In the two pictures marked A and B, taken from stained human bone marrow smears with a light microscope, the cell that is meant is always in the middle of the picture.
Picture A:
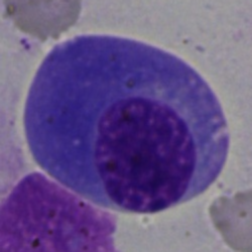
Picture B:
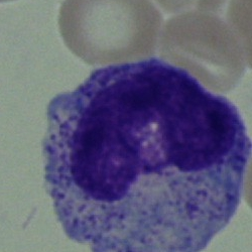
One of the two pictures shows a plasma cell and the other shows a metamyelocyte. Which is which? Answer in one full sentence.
Picture A is of a plasma cell, and picture B is of a metamyelocyte.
